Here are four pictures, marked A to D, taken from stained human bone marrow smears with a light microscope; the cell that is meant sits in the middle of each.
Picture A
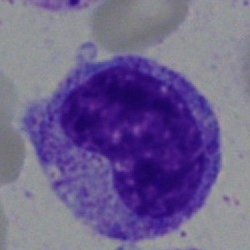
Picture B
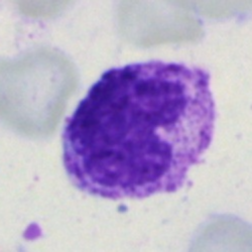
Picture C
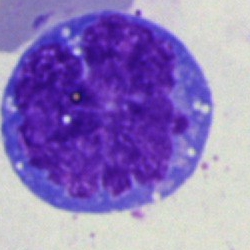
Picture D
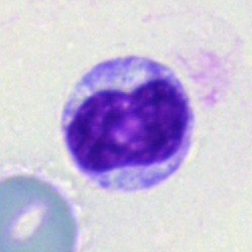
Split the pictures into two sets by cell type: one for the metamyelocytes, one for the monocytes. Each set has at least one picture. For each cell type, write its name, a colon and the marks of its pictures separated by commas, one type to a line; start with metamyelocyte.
metamyelocyte: A, B, D
monocyte: C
